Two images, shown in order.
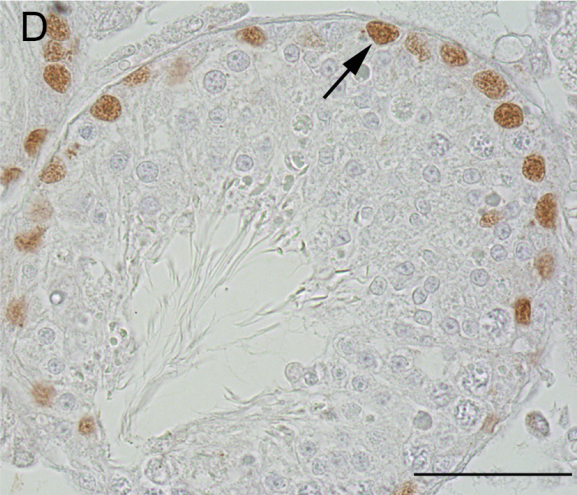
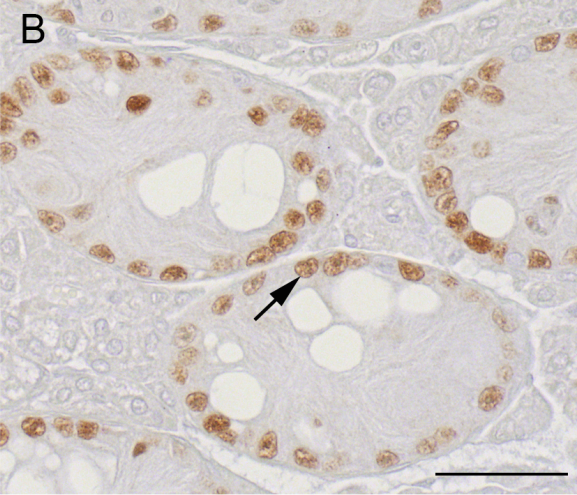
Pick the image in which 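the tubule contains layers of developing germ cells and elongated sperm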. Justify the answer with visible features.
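The first image. First image: many germ cell nuclei fill the tubule and elongated sperm reach into the lumen. Second image: only a basal row of nuclei surrounds pale, vacuolated tubule contents.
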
